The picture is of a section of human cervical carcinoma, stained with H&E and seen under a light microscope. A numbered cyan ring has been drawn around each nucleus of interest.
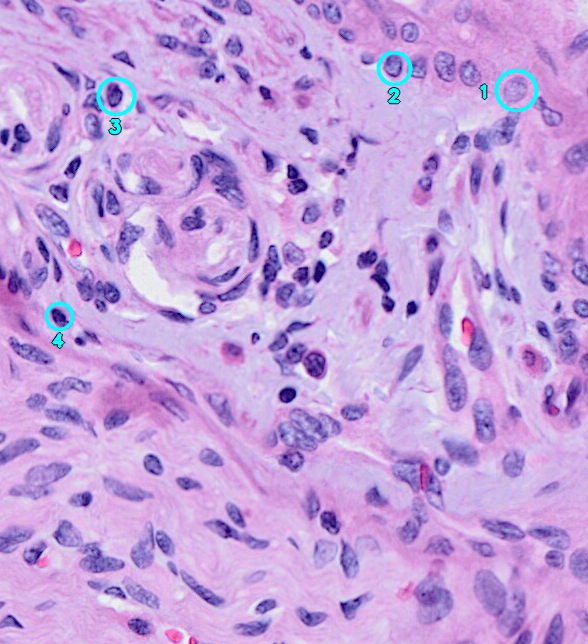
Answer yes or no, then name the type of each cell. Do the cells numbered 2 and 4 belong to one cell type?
No, what is marked as cell 2 is a smooth muscle cell, and what is marked as cell 4 is a lymphocyte.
